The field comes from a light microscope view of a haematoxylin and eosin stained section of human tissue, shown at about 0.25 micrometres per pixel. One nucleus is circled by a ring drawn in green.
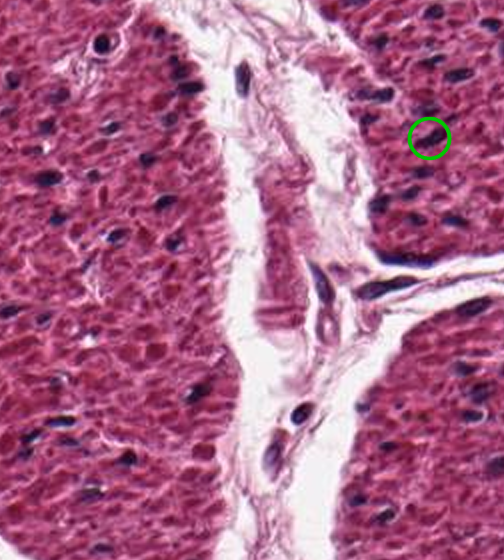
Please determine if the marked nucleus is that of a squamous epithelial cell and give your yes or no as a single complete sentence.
No, the nucleus carrying the mark does not come from a squamous epithelial cell.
